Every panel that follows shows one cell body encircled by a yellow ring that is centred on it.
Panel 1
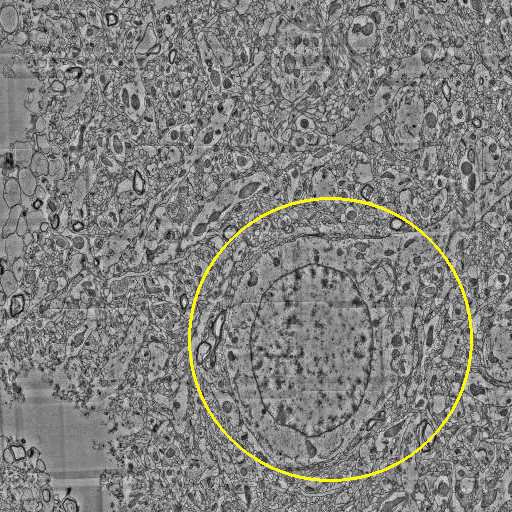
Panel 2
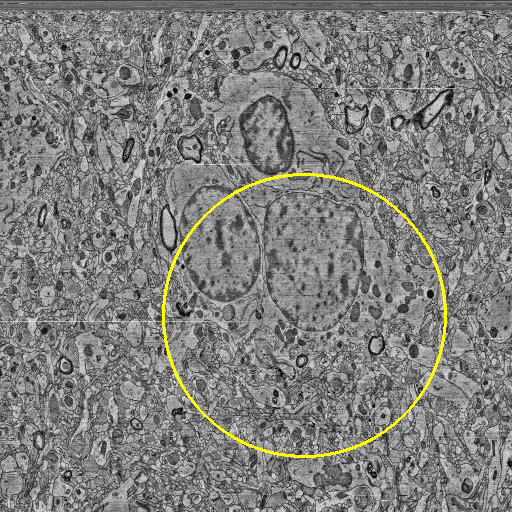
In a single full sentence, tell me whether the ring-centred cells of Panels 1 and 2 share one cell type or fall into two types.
In Panel 1 and Panel 2, the cells at the ring centres fall into two types.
